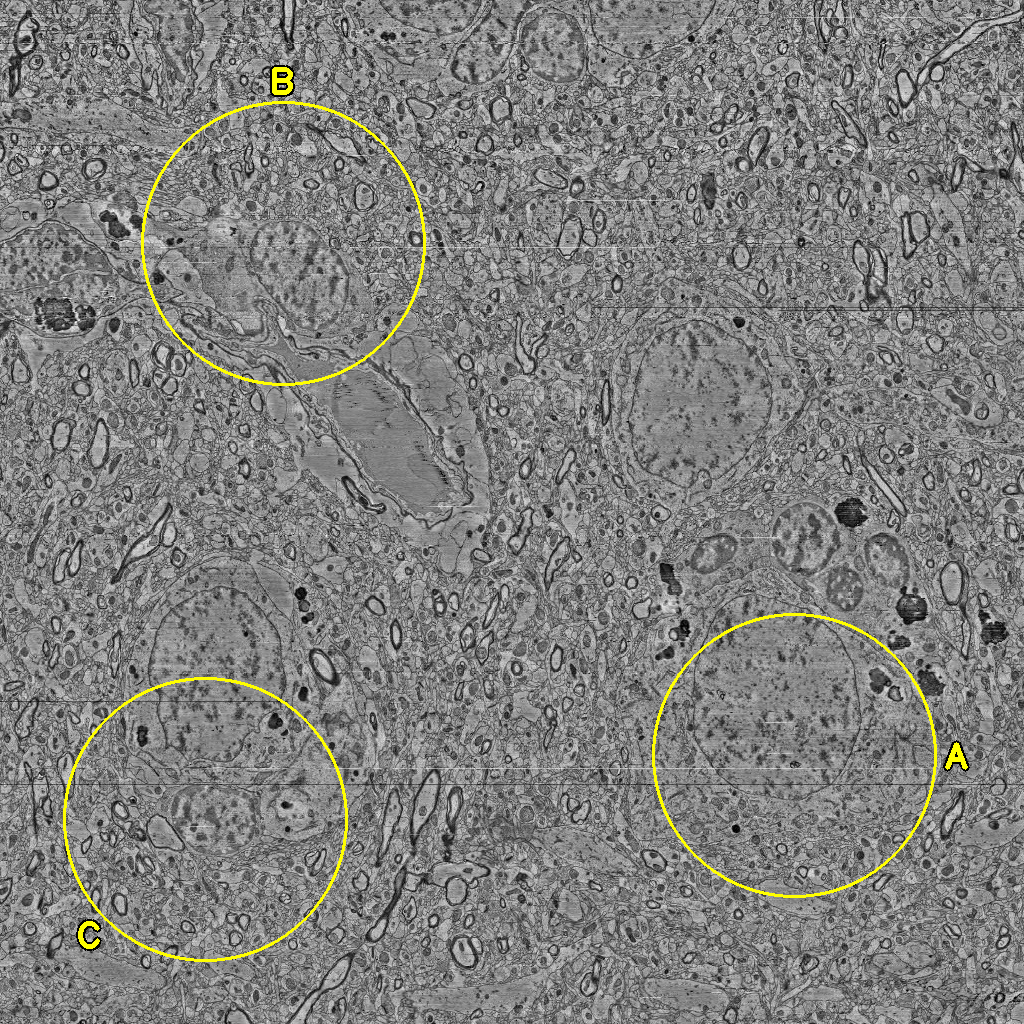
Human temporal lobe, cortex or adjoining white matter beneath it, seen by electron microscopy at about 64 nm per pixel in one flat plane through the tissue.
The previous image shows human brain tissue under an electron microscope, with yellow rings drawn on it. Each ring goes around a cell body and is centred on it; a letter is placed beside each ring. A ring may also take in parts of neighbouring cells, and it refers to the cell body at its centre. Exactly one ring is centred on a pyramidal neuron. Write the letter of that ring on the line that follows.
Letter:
A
